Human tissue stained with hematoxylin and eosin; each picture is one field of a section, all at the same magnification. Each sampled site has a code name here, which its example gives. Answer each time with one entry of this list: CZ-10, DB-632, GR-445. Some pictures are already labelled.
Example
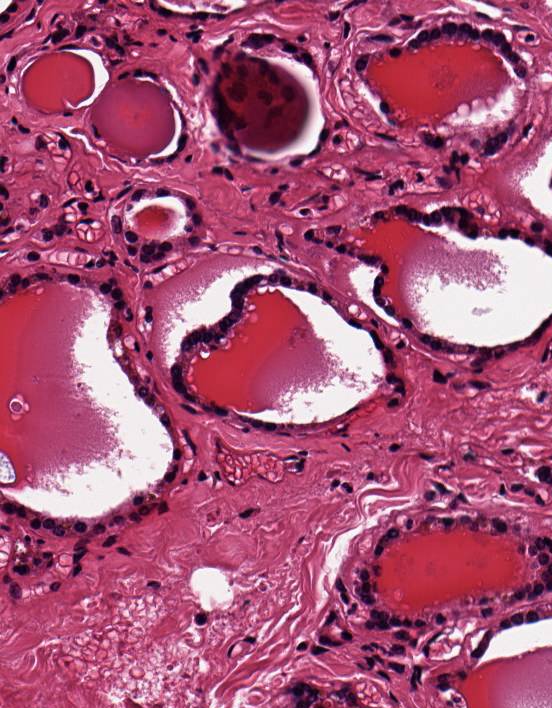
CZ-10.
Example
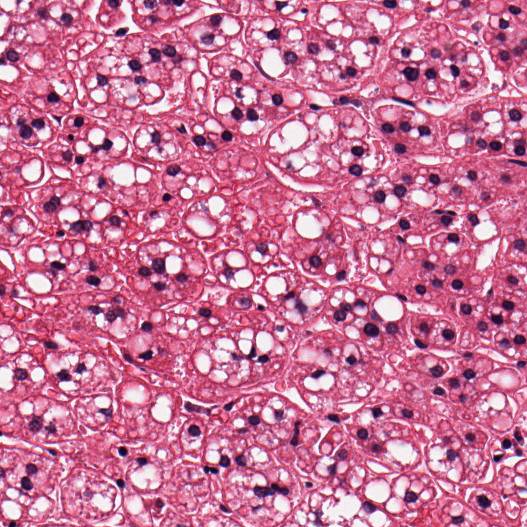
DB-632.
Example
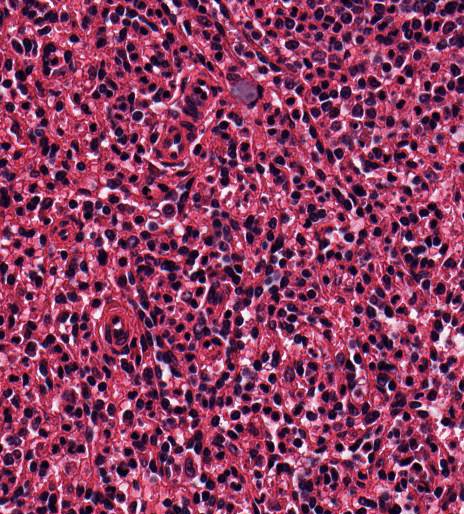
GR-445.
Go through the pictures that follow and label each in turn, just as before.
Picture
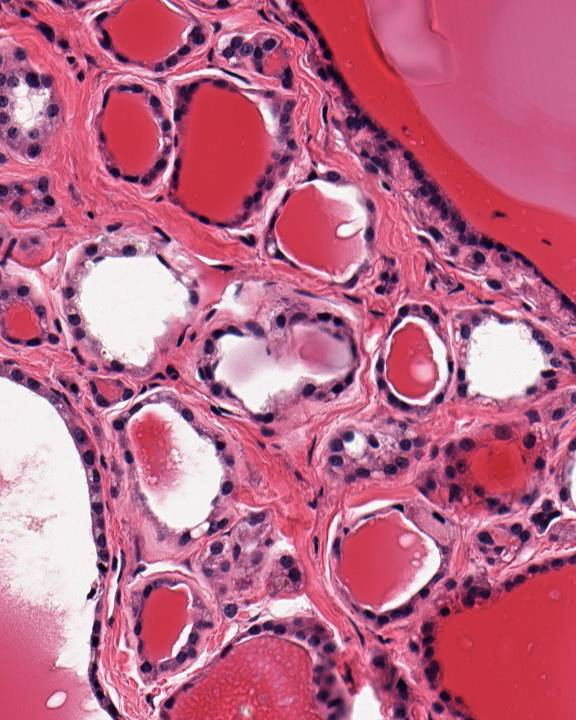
CZ-10.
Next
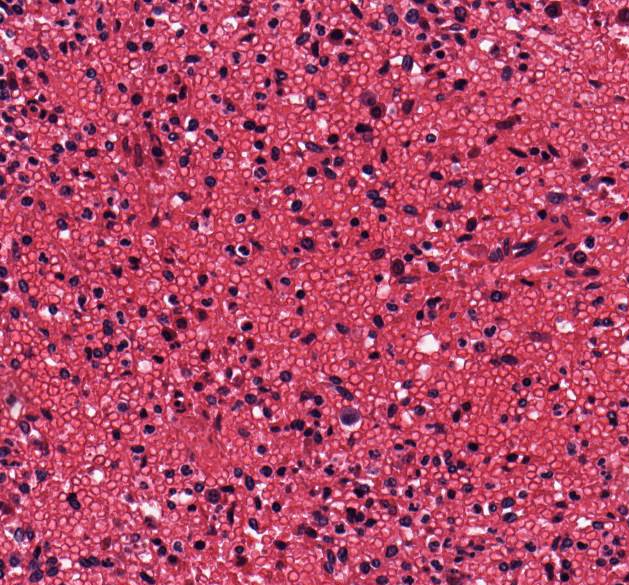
GR-445.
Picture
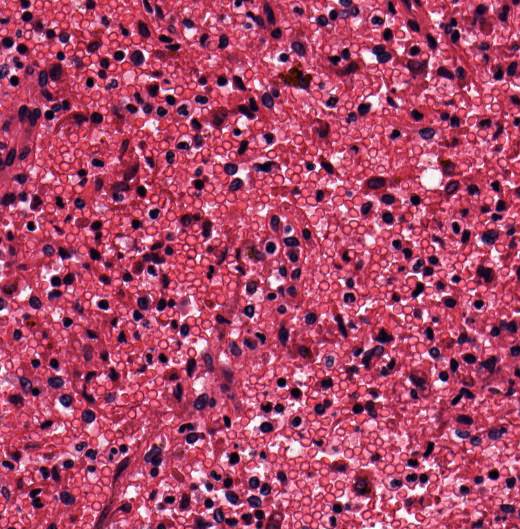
GR-445.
